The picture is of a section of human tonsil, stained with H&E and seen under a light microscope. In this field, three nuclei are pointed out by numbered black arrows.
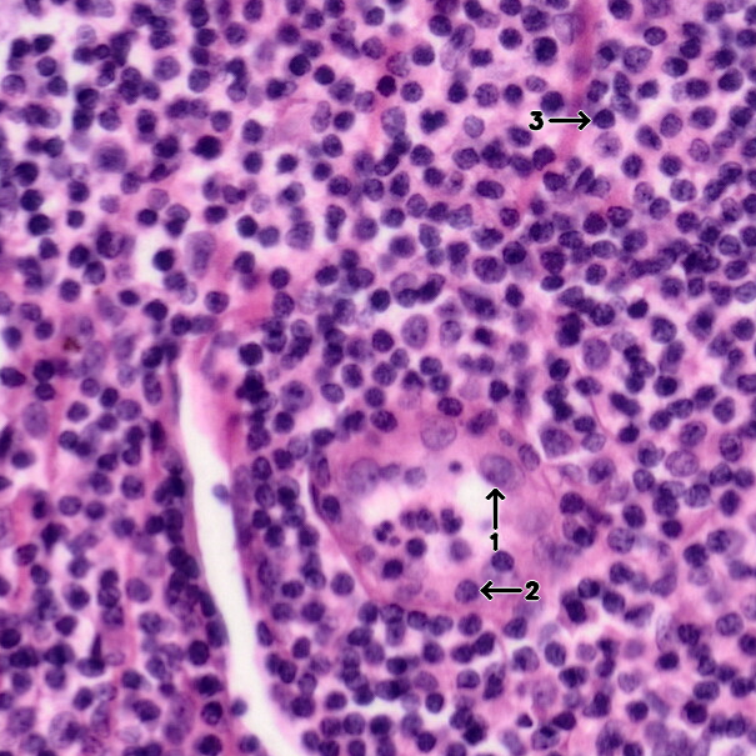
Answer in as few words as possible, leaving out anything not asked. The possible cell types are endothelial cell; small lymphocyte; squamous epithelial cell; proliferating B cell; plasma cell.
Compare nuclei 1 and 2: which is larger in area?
1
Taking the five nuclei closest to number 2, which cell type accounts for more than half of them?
endothelial cell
